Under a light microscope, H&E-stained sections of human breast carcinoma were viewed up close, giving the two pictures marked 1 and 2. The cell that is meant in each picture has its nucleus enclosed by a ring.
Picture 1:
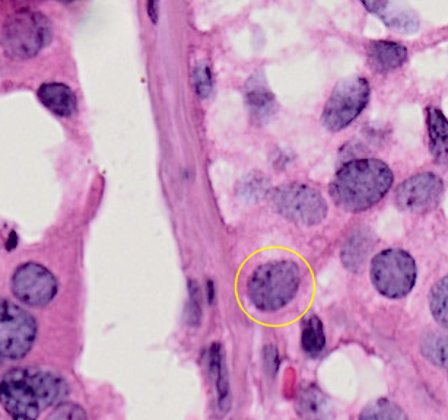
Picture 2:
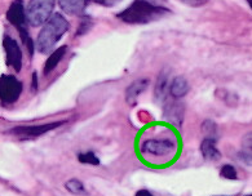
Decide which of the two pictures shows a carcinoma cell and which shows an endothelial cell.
1: carcinoma cell
2: endothelial cell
